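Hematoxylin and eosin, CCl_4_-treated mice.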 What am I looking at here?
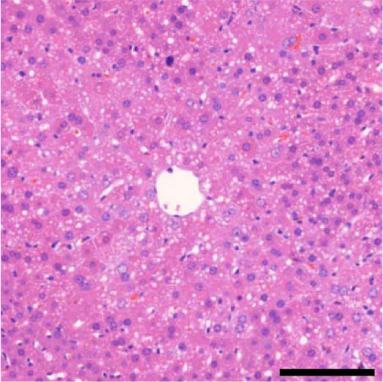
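This is liver tissue with hepatocyte cords around a central vein that lies as a rounded white lumen in the centre. The hepatocytes have round purple nuclei, but many have paler, finely vacuolated pink cytoplasm. The clear sinusoidal spaces between the cords are narrow and few, so the plate arrangement is less distinct. A few small red spots are scattered through the tissue.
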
